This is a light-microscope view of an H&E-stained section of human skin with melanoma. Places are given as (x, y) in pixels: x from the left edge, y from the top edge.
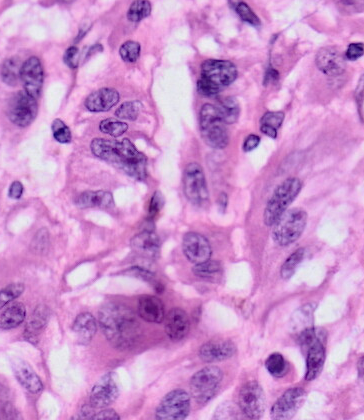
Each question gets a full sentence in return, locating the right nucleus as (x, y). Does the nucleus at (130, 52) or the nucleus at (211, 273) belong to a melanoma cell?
The pair contains one nucleus of a melanoma cell, namely the one at (211, 273).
